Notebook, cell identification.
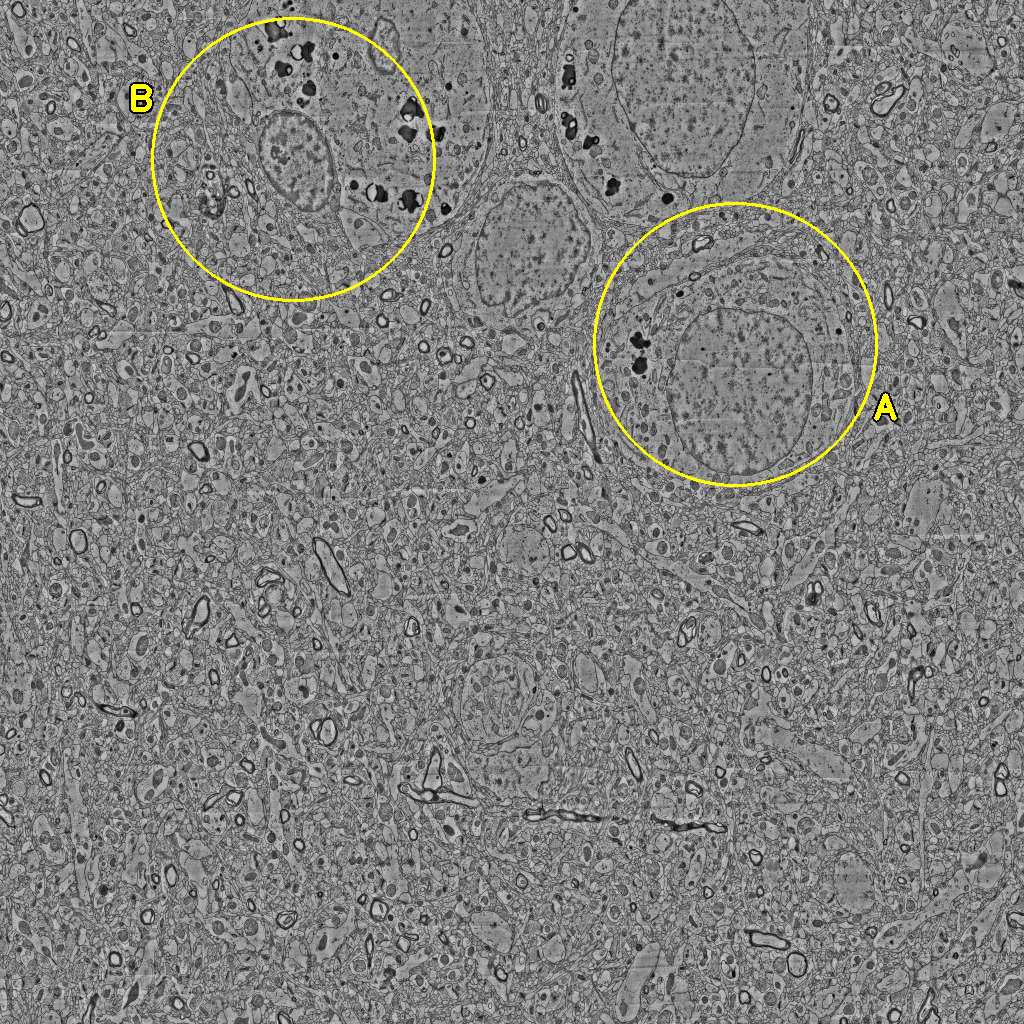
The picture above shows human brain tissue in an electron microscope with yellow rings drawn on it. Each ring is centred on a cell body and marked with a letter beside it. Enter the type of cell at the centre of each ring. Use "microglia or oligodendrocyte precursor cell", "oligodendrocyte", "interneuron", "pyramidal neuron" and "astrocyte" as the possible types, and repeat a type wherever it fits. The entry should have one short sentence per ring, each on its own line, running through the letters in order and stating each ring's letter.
The cell body in ring A belongs to an interneuron.
The cell body in ring B belongs to an oligodendrocyte.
